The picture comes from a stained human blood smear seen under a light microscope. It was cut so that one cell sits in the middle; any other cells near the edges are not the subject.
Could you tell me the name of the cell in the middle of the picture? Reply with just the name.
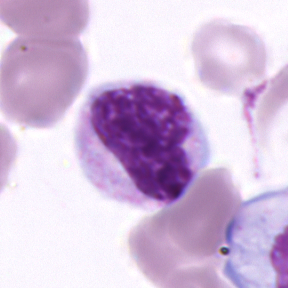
band neutrophil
